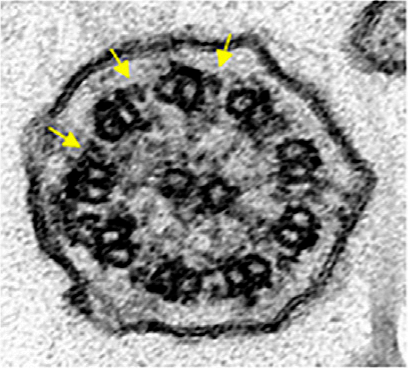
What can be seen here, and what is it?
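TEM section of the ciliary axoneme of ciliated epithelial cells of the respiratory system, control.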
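Nine doublet microtubules form a ring around a central pair of single microtubules, with small arm-like projections on the doublets. The outline of the membrane is angular.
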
